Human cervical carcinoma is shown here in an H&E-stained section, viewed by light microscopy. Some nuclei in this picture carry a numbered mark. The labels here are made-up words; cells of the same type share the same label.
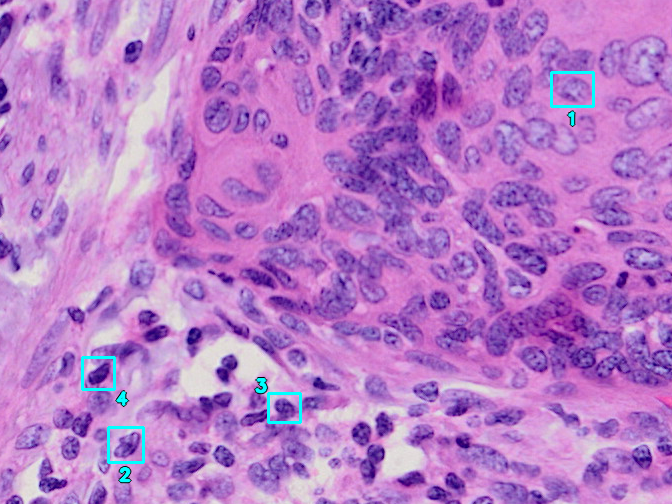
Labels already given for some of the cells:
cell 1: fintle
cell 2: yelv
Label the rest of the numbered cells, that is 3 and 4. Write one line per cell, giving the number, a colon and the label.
3: yelv
4: yelv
